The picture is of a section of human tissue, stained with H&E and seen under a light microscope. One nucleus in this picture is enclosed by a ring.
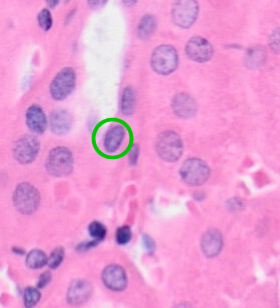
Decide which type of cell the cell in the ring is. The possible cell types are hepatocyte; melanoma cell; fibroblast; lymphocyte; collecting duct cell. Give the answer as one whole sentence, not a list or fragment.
In the stained section, the cell in the ring is a collecting duct cell.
